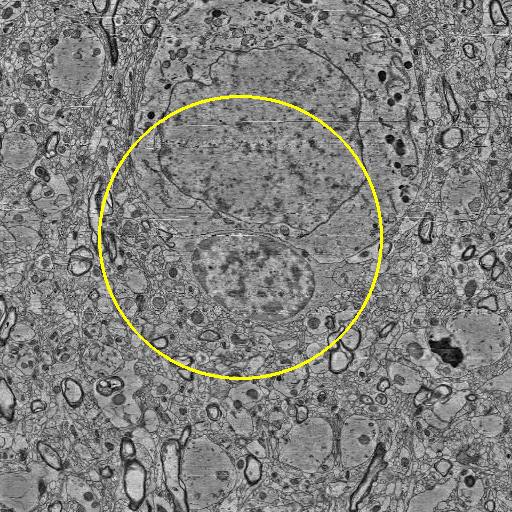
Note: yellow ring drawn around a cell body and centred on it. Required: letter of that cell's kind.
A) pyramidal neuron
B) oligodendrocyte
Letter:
B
